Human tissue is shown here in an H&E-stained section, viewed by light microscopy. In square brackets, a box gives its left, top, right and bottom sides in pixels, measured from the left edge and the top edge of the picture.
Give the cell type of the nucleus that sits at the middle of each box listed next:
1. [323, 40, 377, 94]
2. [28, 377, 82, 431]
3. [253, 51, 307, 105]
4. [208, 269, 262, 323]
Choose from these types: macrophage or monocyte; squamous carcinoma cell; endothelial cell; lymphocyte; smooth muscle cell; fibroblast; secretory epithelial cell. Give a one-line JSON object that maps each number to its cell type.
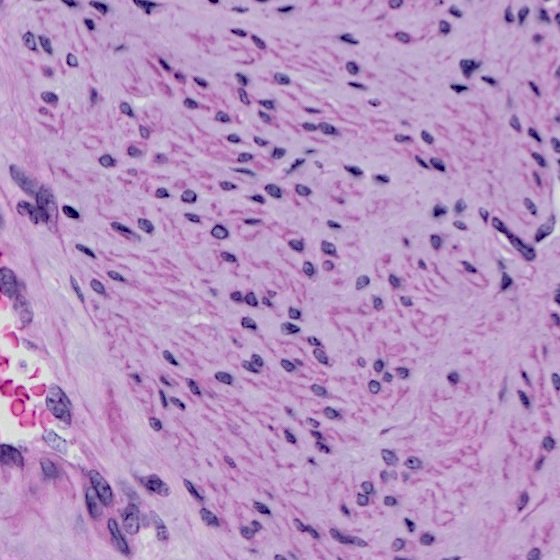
{"1": "smooth muscle cell", "2": "endothelial cell", "3": "smooth muscle cell", "4": "smooth muscle cell"}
